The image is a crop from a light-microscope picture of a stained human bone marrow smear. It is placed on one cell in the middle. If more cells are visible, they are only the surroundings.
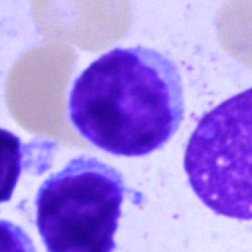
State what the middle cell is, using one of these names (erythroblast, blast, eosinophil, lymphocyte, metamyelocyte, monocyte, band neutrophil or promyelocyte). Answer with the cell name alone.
lymphocyte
